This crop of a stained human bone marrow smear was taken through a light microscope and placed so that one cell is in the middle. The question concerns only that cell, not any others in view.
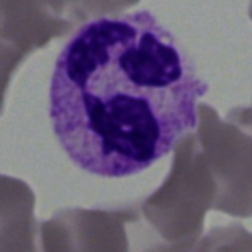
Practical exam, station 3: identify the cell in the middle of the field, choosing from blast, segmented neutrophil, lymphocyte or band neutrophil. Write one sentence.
This crop has a segmented neutrophil at its centre.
